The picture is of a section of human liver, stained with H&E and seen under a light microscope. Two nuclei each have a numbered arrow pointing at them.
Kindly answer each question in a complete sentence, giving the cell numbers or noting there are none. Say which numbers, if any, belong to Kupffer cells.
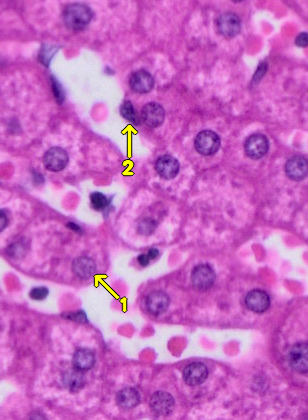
Where the numbered cells are concerned, only number 2 is a Kupffer cell.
